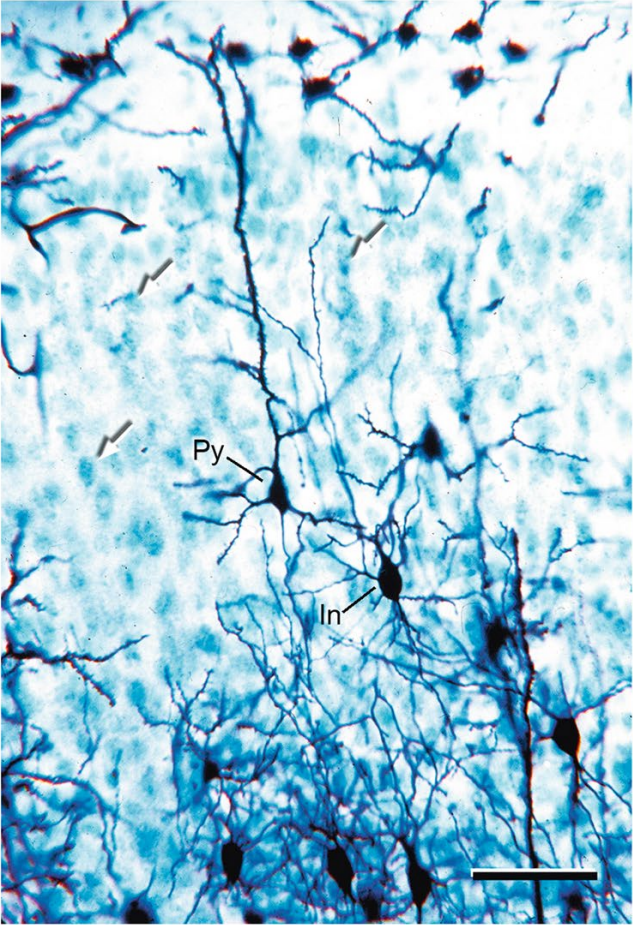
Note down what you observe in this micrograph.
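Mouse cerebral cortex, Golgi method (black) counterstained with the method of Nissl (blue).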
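One black neuron near the middle has a triangular cell body with a single long, thick dendrite running straight upward toward the top of the field and several shorter dendrites spreading from its base. Just below and to the right lies another black neuron with an oval cell body and many thin dendrites radiating in several directions. Further black cell bodies with dark branching processes crowd the lower part of the field, while the numerous small rounded blue profiles scattered everywhere show no processes.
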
